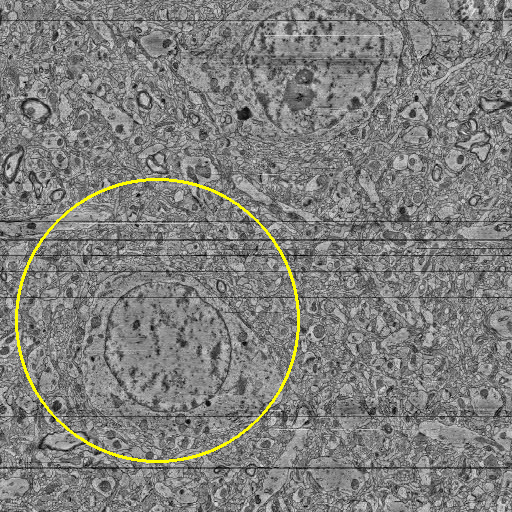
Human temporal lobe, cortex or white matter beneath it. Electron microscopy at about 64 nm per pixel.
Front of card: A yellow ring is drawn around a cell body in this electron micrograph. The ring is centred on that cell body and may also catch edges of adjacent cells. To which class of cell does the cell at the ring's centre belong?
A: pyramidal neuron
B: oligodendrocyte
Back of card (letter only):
A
